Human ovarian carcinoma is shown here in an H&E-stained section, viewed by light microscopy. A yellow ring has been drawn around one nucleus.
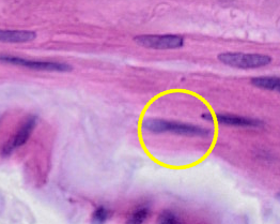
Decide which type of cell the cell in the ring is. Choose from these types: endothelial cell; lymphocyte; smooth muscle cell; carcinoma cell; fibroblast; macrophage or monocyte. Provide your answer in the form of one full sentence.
For the purposes of cell typing, the cell in the ring is categorized as a smooth muscle cell.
